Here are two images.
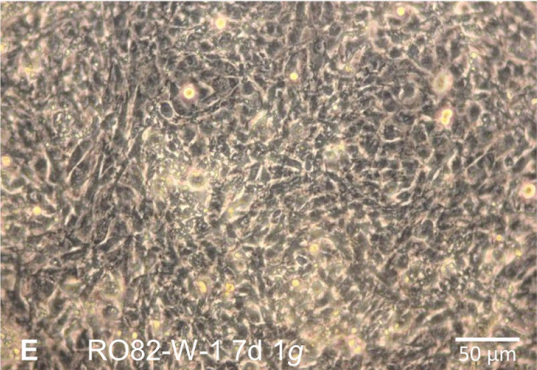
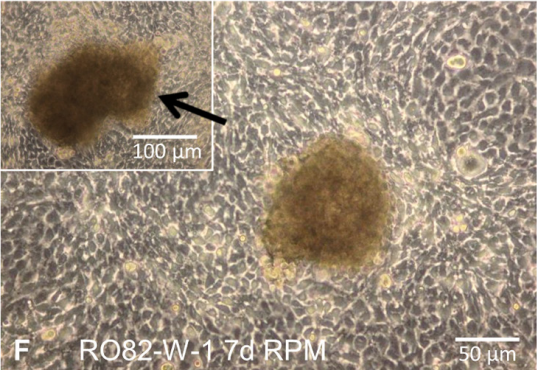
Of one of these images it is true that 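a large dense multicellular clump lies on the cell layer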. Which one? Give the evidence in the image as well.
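Second image: a large dark brown rounded mass of cells sits on top of the flat cell layer. First image: only a flat continuous layer of cells, with no large clump.
Conclusion: the second image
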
